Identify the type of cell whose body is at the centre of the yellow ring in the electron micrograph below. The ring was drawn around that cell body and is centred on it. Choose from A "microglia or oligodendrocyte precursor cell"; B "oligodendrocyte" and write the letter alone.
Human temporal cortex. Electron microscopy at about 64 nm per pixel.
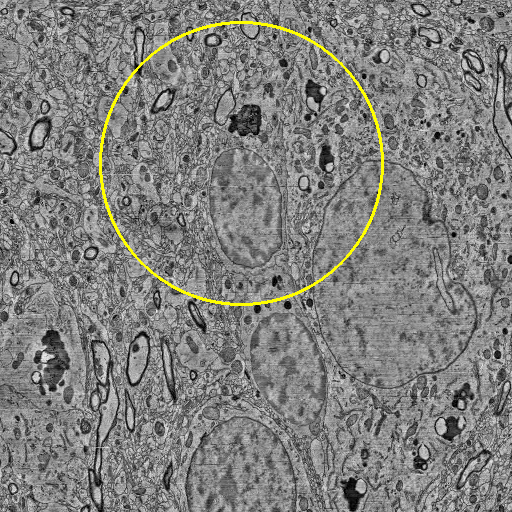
B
